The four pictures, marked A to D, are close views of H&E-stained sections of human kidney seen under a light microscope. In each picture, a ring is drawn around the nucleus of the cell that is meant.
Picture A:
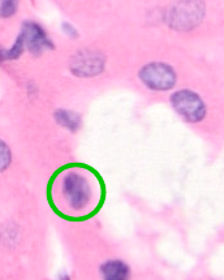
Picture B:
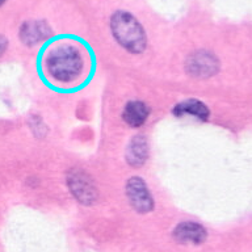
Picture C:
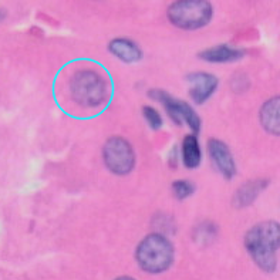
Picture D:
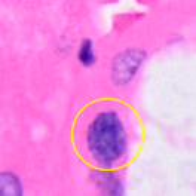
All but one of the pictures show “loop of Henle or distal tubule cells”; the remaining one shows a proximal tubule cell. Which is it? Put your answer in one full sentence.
It is picture C that shows the proximal tubule cell.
